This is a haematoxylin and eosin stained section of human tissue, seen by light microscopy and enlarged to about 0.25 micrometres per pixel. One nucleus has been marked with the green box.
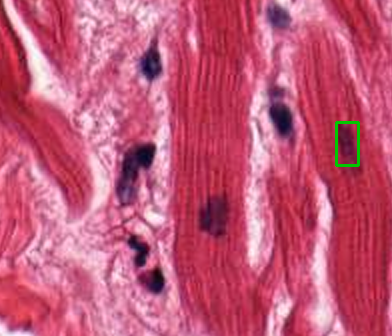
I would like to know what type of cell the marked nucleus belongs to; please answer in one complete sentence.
The marked nucleus lies within a cardiomyocyte.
